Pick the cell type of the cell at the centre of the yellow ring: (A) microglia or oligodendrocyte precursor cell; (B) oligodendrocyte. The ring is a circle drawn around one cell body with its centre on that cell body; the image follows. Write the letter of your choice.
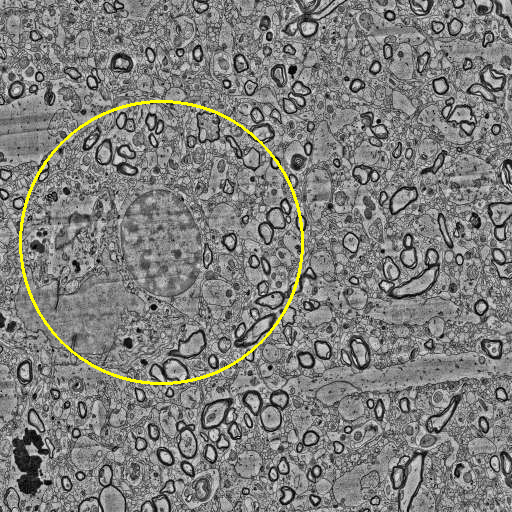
B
